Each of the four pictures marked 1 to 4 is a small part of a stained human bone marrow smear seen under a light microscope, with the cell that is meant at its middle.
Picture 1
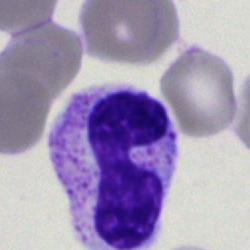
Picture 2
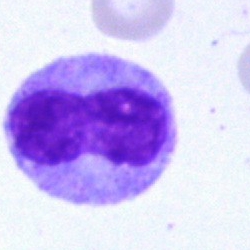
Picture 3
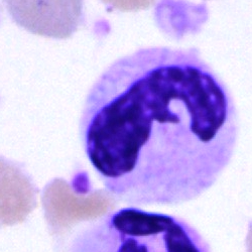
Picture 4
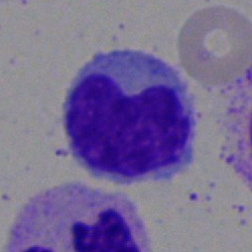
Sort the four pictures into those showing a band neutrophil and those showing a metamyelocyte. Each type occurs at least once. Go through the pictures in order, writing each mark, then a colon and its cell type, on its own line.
1: band neutrophil
2: band neutrophil
3: band neutrophil
4: metamyelocyte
